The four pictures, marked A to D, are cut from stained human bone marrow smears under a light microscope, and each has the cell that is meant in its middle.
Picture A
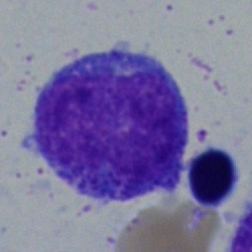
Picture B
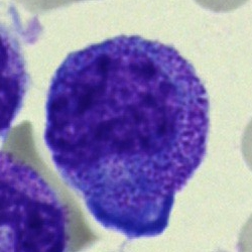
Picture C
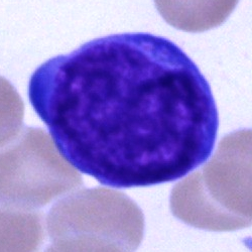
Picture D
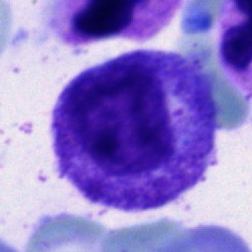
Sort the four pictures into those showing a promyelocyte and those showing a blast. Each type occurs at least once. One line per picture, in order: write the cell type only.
promyelocyte
promyelocyte
blast
promyelocyte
